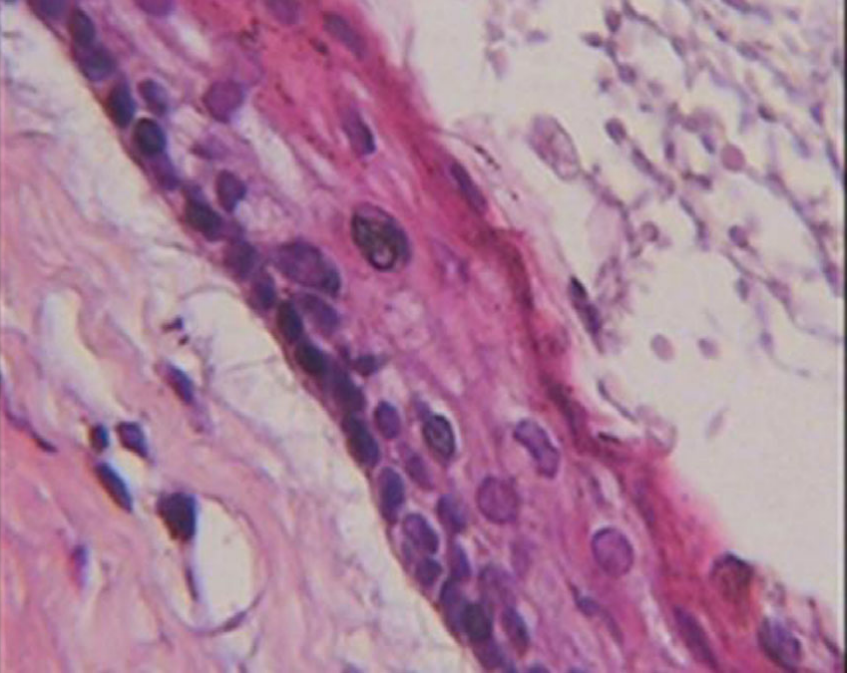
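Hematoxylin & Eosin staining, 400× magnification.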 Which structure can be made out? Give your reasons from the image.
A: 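Along the border with the fibrous connective tissue on the left, a single row of dark purple nuclei is lined up side by side. These basal nuclei are darker and more crowded than the nuclei of the overlying layers. The answer: hyperchromatic and palisaded basal cell layer.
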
